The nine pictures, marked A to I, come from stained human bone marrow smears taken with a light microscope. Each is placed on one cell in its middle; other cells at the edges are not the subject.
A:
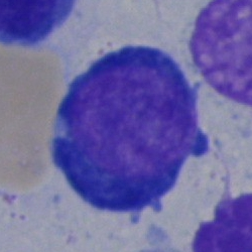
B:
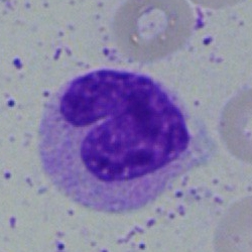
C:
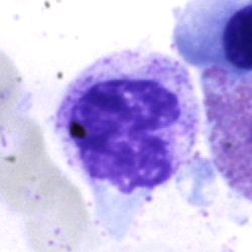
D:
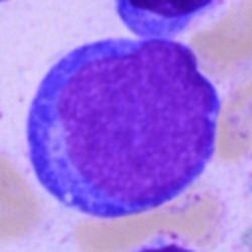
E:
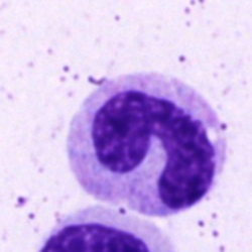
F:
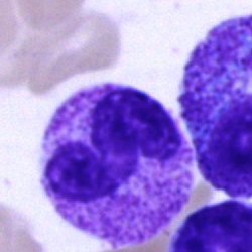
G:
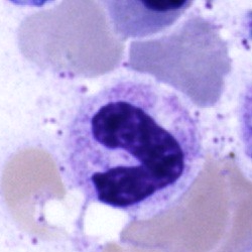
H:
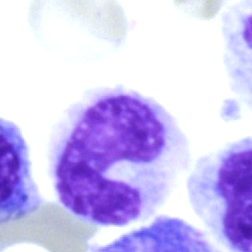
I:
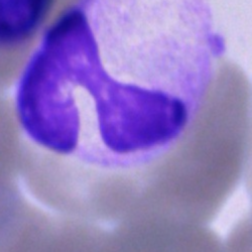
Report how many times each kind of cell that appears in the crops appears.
band neutrophil: 7
proerythroblast: 2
